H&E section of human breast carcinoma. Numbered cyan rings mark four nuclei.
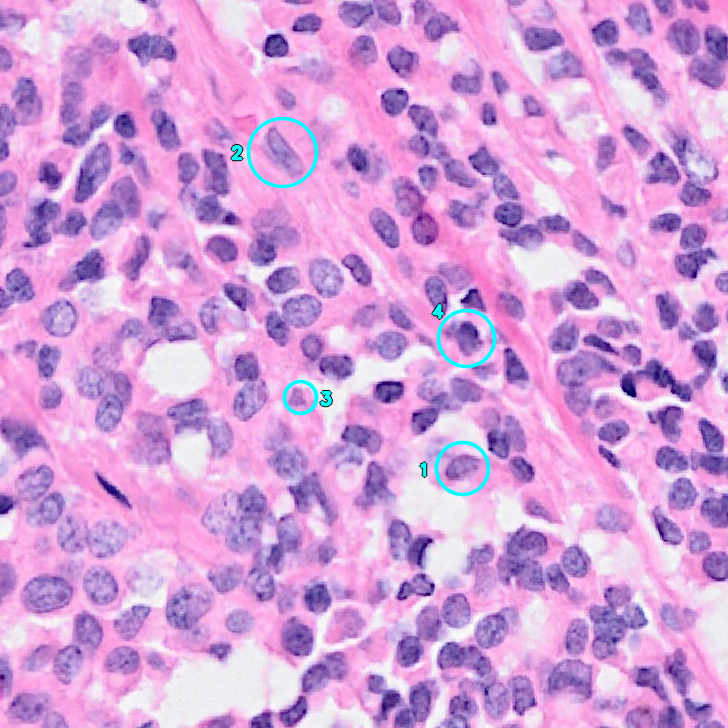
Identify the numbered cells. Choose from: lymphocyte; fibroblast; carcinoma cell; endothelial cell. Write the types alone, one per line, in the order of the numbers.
carcinoma cell
endothelial cell
carcinoma cell
carcinoma cell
